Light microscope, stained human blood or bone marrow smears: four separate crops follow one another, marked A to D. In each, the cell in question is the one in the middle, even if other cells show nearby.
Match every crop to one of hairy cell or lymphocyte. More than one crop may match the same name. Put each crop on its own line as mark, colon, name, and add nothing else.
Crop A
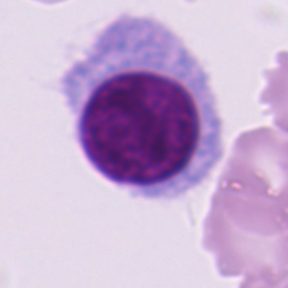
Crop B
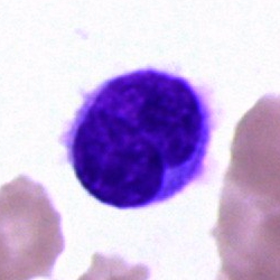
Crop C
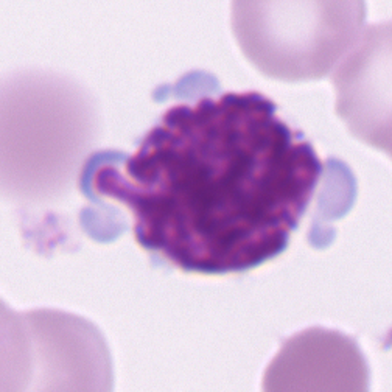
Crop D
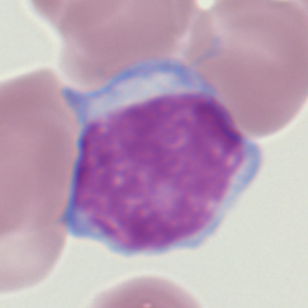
A: hairy cell
B: hairy cell
C: lymphocyte
D: lymphocyte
